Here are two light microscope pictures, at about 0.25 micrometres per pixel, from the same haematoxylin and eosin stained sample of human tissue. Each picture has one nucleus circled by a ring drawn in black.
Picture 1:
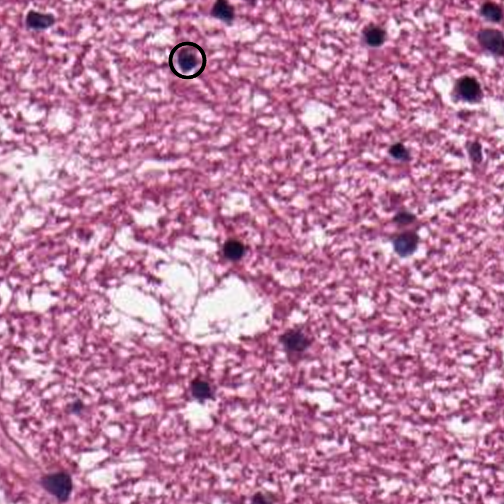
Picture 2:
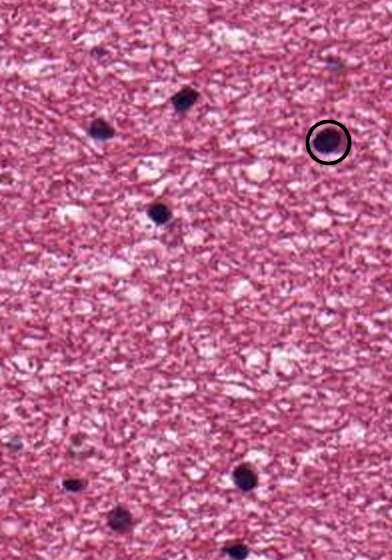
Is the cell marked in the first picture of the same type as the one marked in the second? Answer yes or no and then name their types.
Yes, both are oligodendrocytes.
